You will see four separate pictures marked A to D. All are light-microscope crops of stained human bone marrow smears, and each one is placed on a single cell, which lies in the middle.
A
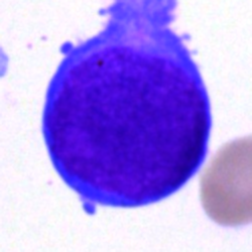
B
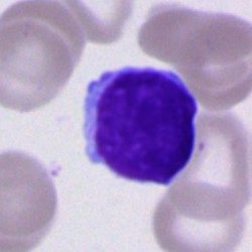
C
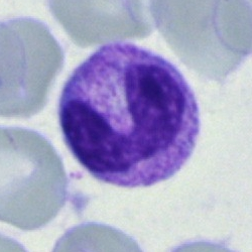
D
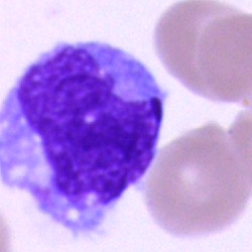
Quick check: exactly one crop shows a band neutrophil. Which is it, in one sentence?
Crop C is the crop in which a band neutrophil is shown.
